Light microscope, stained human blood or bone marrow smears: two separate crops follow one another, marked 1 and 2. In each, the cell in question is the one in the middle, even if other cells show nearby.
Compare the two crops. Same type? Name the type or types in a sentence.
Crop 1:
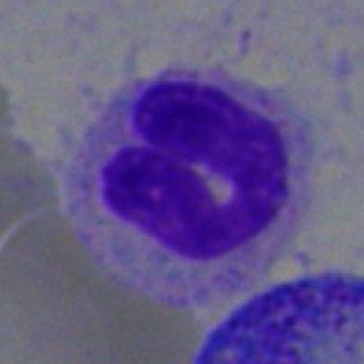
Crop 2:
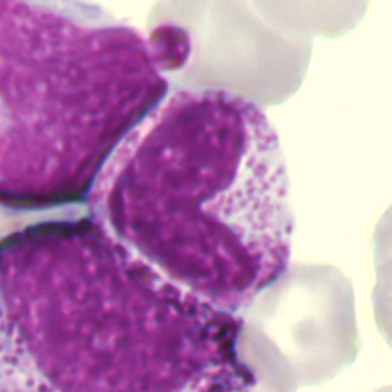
Yes, both crops contain band neutrophils at their centres.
